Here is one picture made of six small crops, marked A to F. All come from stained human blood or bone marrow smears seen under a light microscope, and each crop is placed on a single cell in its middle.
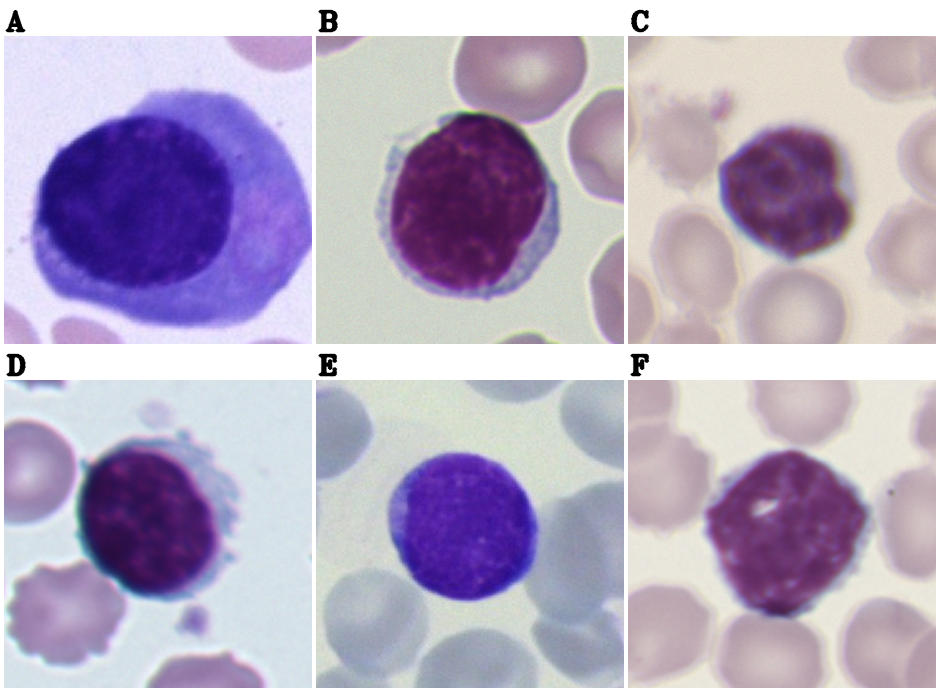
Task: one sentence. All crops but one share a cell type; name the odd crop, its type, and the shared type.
Only crop A differs, being a plasma cell, while the others all show lymphocytes.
